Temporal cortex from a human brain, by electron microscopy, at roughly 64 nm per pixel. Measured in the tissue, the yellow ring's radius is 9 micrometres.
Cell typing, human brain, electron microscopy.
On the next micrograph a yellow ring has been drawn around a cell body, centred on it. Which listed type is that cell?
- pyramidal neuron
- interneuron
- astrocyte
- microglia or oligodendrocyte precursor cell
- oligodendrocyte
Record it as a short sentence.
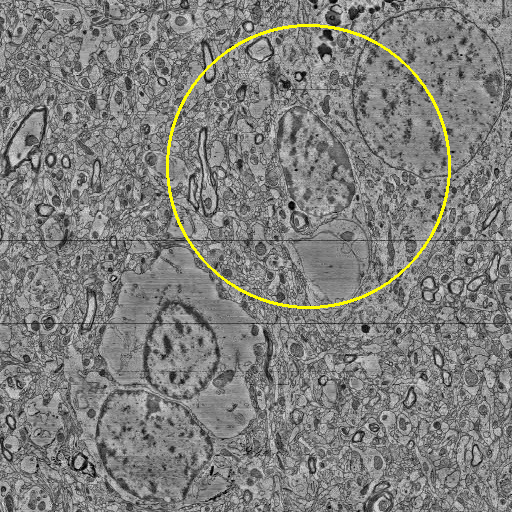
The cell body in the ring's centre belongs to a microglial cell or oligodendrocyte precursor cell.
